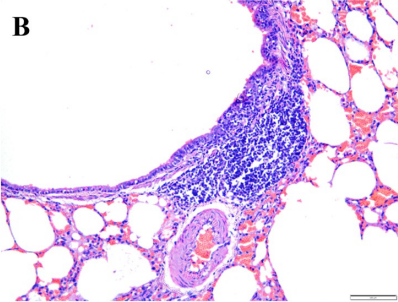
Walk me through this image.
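This is lung tissue next to a small airway, and the eye is drawn to a dense aggregate of lymphoid cells pressed against the airway wall. The aggregate is made of closely packed small round cells with dark blue nuclei and scant cytoplasm, forming a follicle-like mass. The airway lining above is a thin layer of epithelium. Below the aggregate sits a small blood vessel with a pink muscular wall and red cells in its lumen. Around everything the alveoli are open, thin-walled spaces, with some red blood cells in the septa.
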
